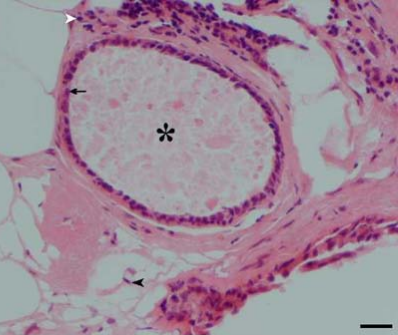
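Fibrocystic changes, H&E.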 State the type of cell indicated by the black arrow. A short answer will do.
Small, somewhat flattened epithelial cells.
